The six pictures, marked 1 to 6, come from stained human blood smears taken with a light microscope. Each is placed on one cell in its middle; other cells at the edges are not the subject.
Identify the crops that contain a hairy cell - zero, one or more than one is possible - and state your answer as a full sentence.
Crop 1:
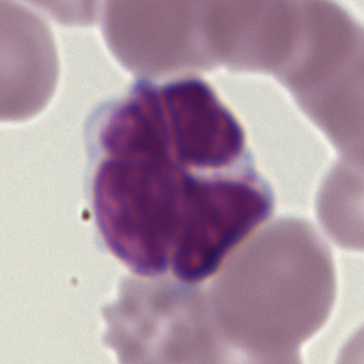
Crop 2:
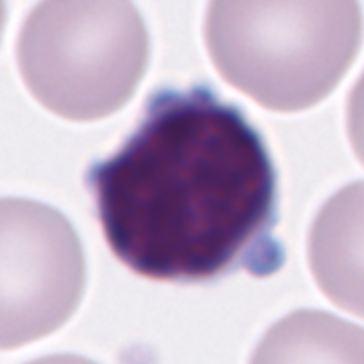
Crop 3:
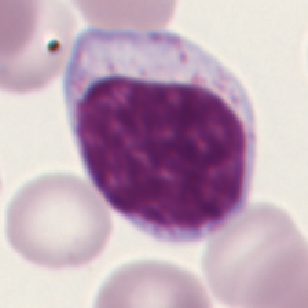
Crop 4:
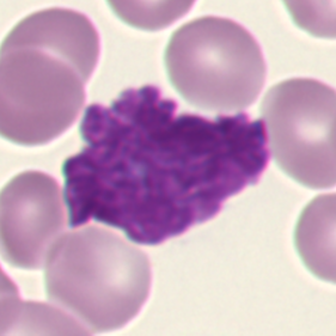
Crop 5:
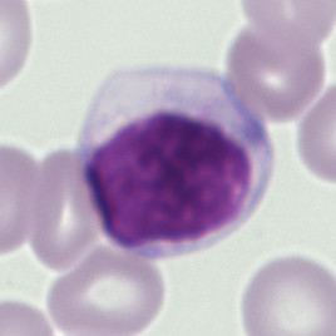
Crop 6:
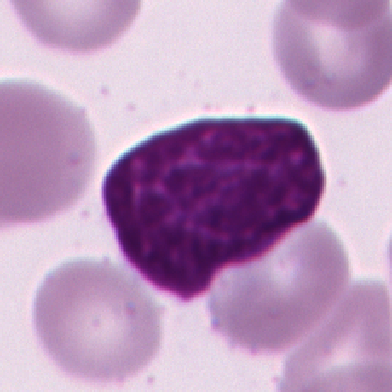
Nope, not one of these cells is a hairy cell.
